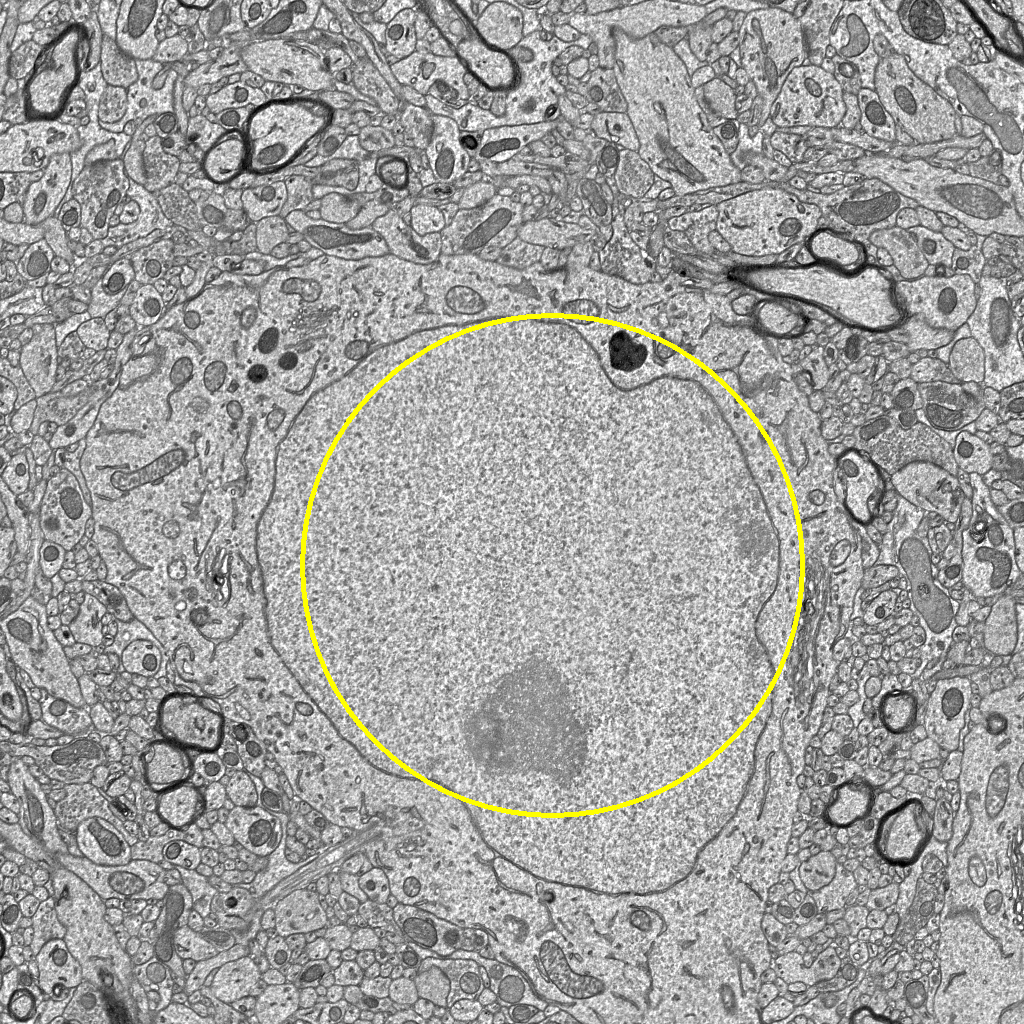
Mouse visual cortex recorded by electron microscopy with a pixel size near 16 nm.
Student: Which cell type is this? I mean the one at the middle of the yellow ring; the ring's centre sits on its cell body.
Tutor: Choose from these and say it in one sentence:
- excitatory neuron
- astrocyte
The cell at the ring's centre is an excitatory neuron.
